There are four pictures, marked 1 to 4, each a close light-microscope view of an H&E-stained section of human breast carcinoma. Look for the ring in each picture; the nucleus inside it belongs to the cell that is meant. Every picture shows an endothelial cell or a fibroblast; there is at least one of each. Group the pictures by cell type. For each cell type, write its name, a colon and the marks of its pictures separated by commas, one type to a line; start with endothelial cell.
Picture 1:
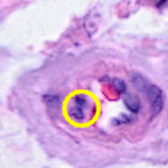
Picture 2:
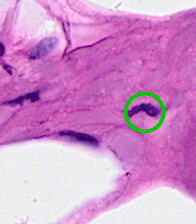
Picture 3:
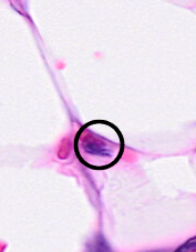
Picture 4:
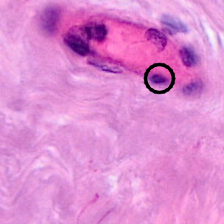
endothelial cell: 1, 3, 4
fibroblast: 2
